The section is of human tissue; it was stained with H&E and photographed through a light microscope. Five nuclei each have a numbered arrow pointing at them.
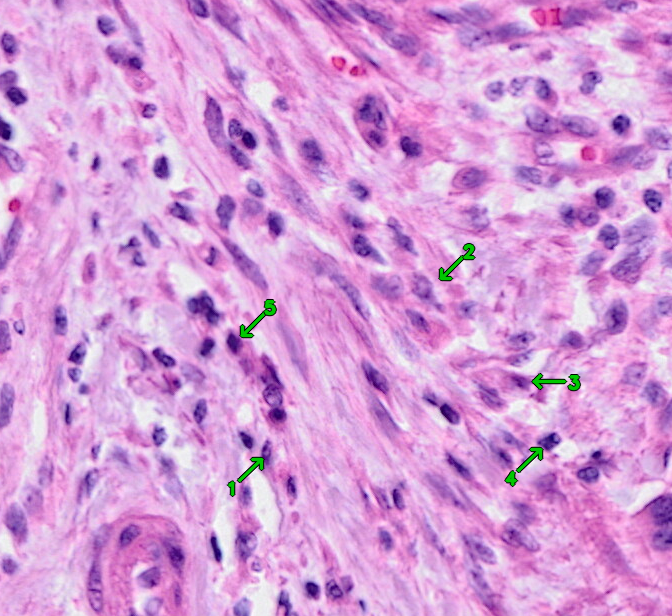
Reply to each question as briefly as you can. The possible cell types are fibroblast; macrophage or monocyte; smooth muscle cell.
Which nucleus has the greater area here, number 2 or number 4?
2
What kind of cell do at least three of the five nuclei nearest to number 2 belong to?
macrophage or monocyte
